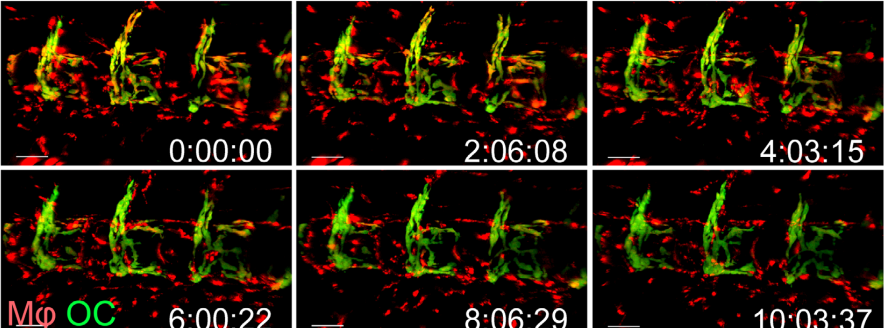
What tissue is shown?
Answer: Vertebral column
